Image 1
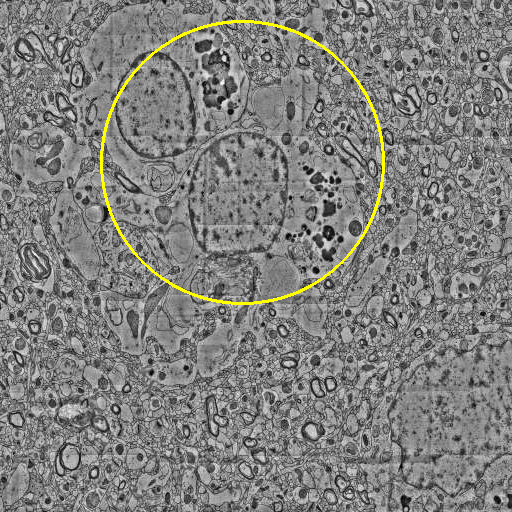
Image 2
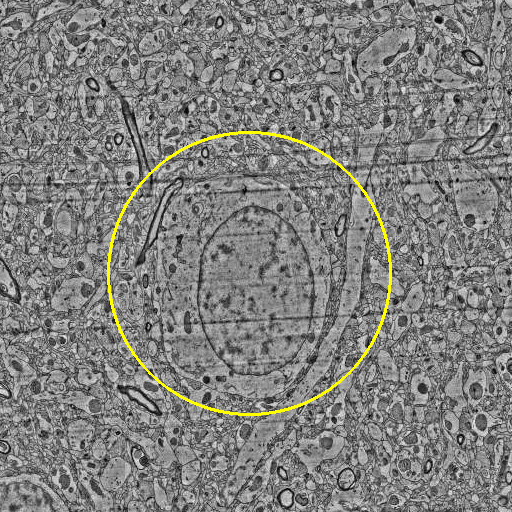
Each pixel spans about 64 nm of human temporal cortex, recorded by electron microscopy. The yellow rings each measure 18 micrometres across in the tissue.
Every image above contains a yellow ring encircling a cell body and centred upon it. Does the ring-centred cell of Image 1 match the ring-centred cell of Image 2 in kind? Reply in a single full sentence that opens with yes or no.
No, the cell at the ring's centre in Image 1 is a separate kind from that in Image 2.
